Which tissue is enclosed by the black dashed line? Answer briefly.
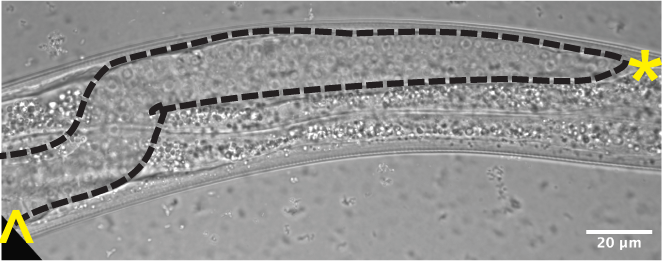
gonads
